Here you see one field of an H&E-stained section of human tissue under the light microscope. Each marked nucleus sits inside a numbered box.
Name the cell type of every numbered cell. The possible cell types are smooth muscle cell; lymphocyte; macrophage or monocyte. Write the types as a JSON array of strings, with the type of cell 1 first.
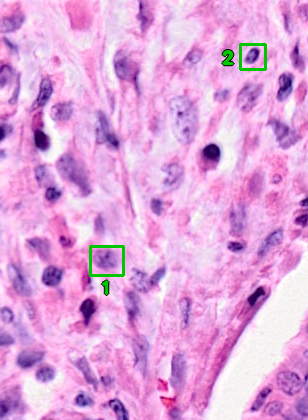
["macrophage or monocyte", "lymphocyte"]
